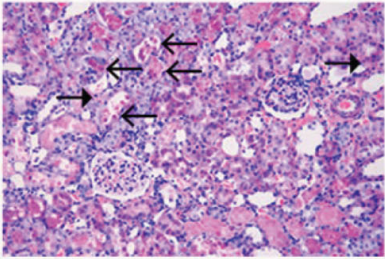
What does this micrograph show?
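Kidney cortex with a glomerulus at the lower left and, around it, tubules that have lost their orderly look: many lumens are plugged with bright pink homogeneous material, the lining cells are swollen, pale or fragmented, and clear lumens are scarce. The overall architecture is disrupted, with pink debris and dense nuclei in place of the regular tubular pattern, a picture of renal tubular injury with inflammatory cells.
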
